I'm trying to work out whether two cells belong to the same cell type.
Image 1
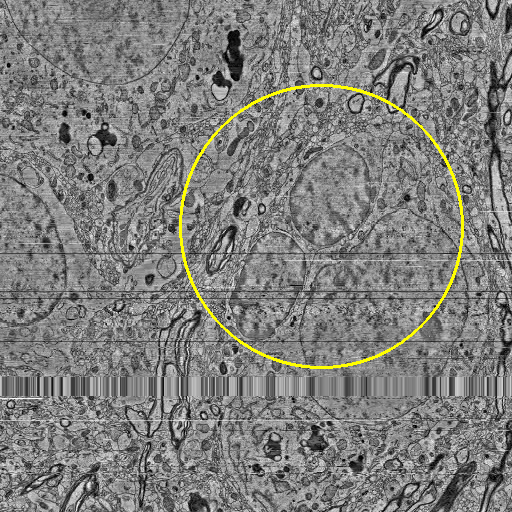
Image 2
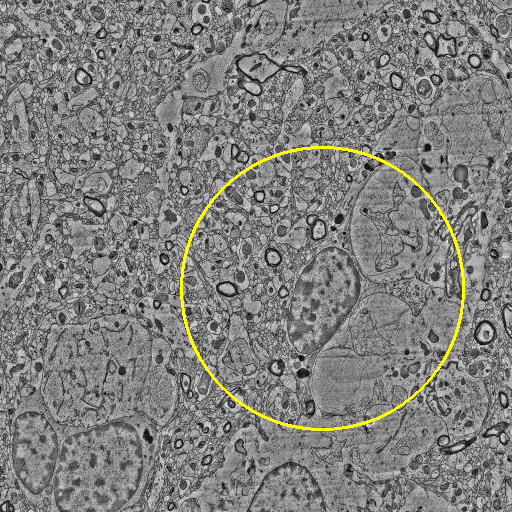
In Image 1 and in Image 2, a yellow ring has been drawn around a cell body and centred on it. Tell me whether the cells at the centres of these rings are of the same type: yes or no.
no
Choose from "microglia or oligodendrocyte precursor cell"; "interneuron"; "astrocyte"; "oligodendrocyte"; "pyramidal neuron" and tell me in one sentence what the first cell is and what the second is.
What the first ring is centred on is an oligodendrocyte; what the second ring is centred on is a microglial cell or oligodendrocyte precursor cell.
